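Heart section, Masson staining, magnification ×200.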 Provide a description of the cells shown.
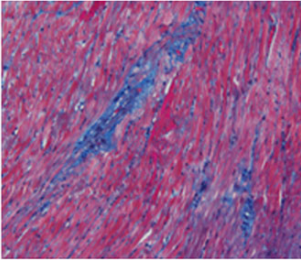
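The muscle fibres run in long parallel bundles diagonally across the field. A broad band of blue-stained fibrous tissue cuts diagonally through the middle of the section, separating groups of muscle fibres. Further blue streaks spread between fibres toward the lower right, where the muscle appears disrupted and paler.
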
